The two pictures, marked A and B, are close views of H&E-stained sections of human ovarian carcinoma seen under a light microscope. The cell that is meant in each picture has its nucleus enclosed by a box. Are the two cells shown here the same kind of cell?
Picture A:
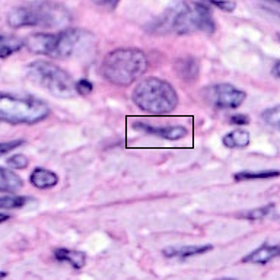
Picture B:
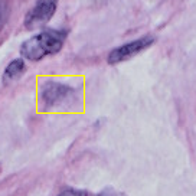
yes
